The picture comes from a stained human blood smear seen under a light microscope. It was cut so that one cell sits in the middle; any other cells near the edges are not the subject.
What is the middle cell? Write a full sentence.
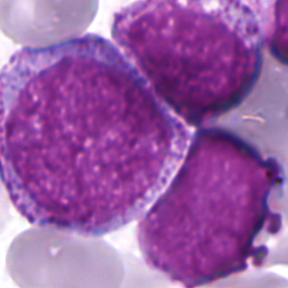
The crop shows a promyelocyte in its centre.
